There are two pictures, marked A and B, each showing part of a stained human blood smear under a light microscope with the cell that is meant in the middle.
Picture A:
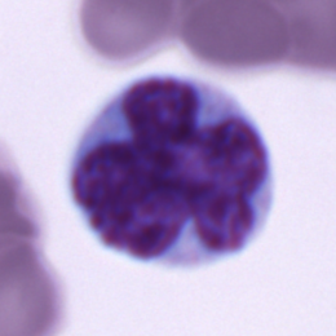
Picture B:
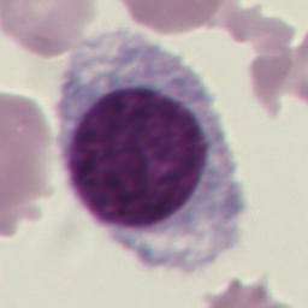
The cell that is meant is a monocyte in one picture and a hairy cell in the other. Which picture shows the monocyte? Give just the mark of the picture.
A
